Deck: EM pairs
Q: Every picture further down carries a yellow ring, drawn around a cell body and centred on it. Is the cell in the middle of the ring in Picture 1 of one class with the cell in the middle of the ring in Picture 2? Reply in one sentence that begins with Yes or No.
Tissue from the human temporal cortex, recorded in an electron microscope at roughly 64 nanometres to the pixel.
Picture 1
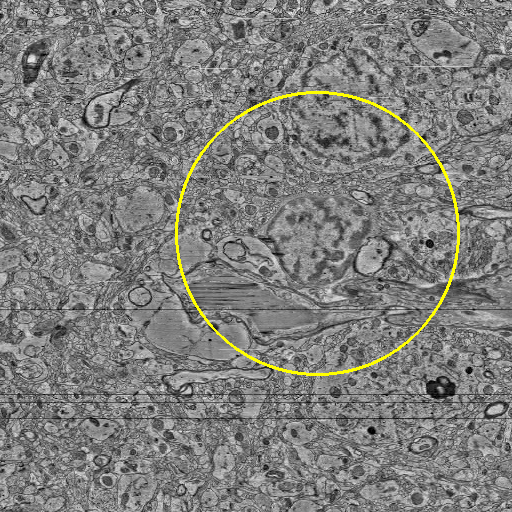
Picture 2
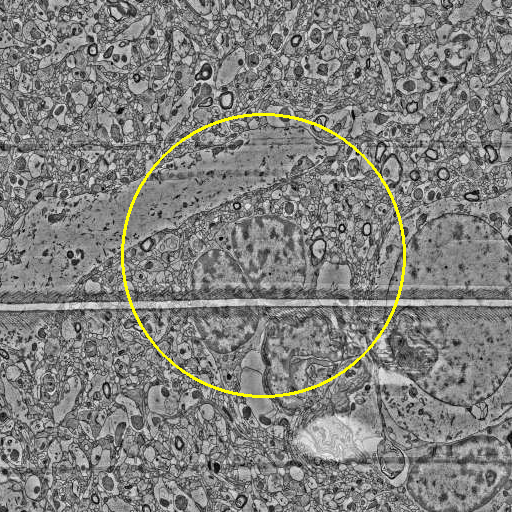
Yes, the cell centred in the ring of Picture 1 and the one in Picture 2 belong to one class.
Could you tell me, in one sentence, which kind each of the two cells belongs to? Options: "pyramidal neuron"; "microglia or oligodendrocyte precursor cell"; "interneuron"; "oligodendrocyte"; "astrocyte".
The second cell is an oligodendrocyte, just as the first is.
